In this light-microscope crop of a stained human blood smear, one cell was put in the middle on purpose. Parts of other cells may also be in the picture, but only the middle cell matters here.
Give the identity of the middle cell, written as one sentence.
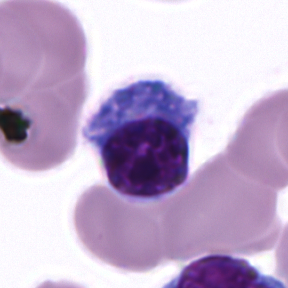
The middle of this crop holds a plasma cell.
